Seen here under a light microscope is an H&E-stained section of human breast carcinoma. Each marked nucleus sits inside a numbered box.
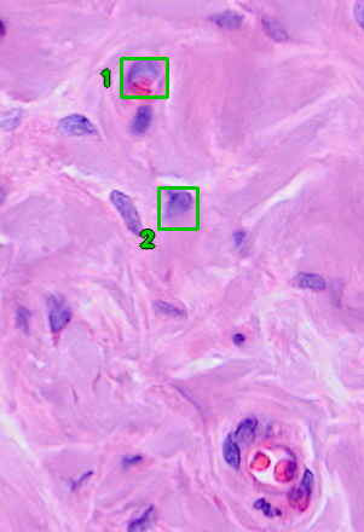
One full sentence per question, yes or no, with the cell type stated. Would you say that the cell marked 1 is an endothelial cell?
Yes, the cell that bears the number 1 is an endothelial cell.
